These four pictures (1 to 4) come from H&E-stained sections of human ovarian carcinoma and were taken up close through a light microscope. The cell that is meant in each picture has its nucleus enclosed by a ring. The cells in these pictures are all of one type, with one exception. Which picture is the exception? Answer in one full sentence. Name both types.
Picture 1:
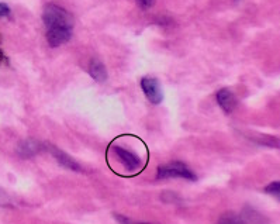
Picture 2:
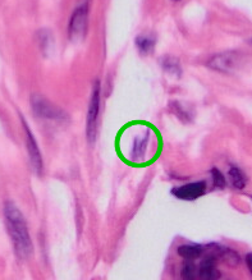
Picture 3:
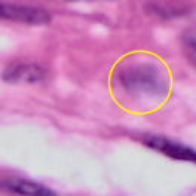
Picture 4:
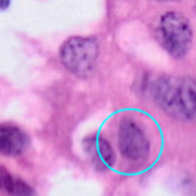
Unlike the rest, which show fibroblasts, picture 4 shows a carcinoma cell.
